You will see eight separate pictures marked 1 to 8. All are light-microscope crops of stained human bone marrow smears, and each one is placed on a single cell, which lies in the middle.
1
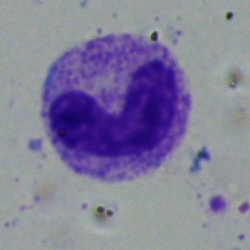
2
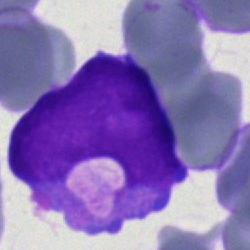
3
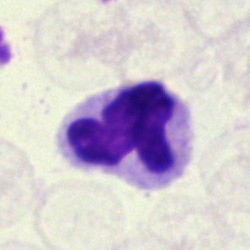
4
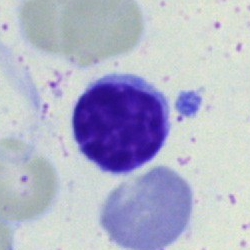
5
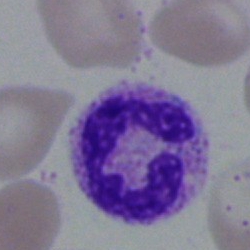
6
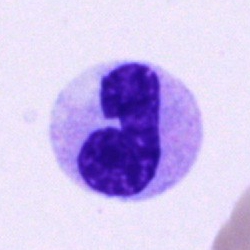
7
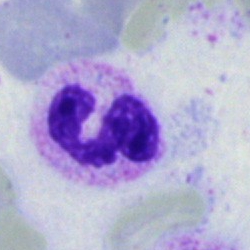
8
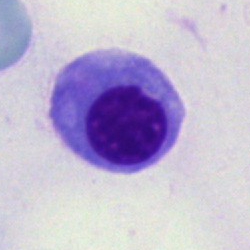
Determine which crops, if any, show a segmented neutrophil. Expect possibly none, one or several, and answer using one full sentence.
The middle cells of crops 3, 5 and 7 are segmented neutrophils.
